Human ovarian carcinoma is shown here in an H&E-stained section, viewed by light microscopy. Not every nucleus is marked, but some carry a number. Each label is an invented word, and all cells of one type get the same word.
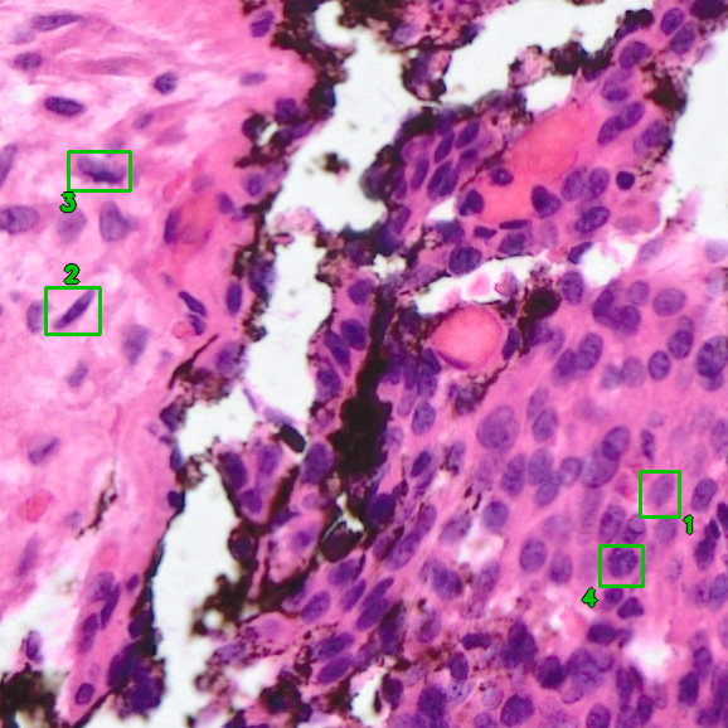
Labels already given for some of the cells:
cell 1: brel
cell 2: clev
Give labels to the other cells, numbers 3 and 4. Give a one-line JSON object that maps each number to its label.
{"3": "clev", "4": "brel"}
